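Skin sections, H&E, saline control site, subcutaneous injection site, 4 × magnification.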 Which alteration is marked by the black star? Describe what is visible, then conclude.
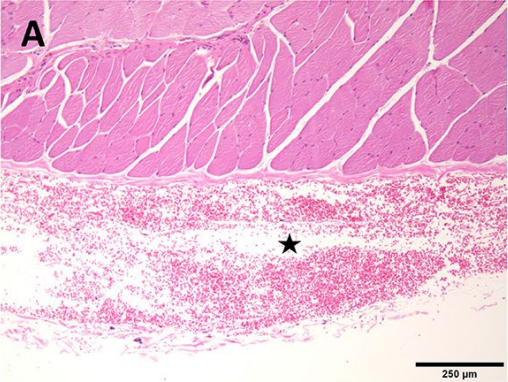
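The star lies in a loose area packed with free red blood cells. This area lies beneath a layer of skeletal muscle fibres.
Acute hemorrhage.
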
